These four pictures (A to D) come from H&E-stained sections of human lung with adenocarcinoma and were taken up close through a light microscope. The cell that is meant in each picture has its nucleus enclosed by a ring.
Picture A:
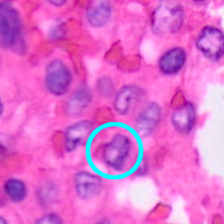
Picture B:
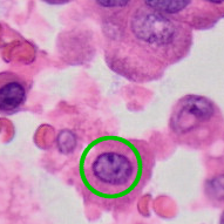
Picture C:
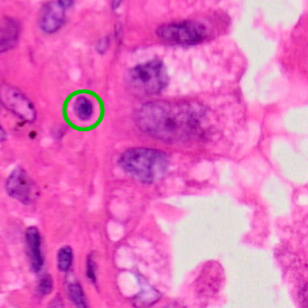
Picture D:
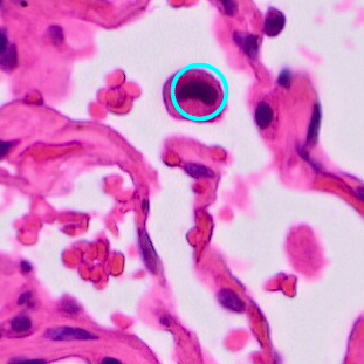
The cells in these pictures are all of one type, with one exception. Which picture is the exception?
C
